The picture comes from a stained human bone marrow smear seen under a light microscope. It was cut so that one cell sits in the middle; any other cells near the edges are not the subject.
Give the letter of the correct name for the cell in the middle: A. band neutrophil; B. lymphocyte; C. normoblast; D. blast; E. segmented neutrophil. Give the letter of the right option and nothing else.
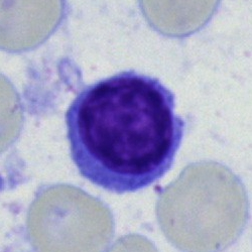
B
